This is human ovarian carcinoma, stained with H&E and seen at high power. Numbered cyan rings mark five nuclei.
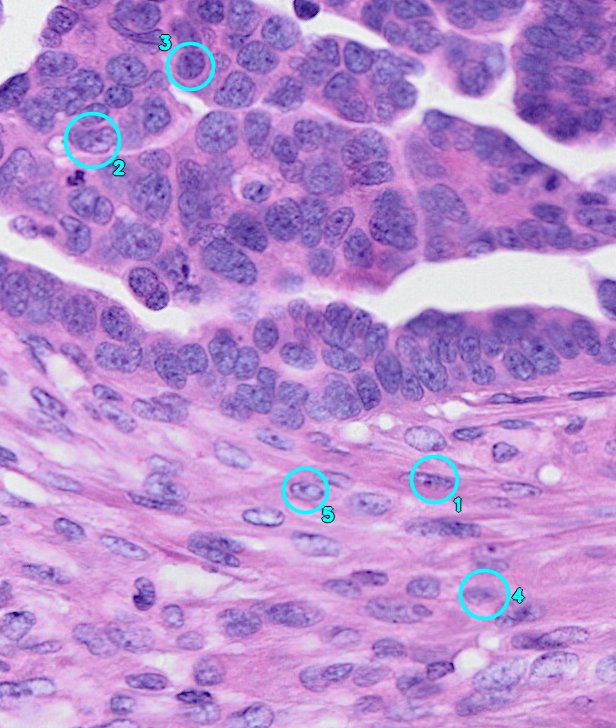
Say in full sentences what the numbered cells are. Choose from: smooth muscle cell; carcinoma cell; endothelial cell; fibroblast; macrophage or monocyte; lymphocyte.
Cell 1 is a fibroblast, cell 2 is a carcinoma cell, cell 3 is a carcinoma cell, cell 4 is a fibroblast and cell 5 is a fibroblast.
